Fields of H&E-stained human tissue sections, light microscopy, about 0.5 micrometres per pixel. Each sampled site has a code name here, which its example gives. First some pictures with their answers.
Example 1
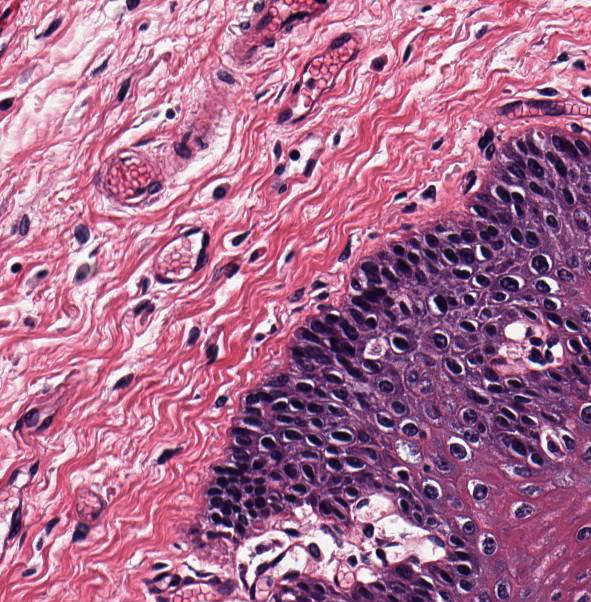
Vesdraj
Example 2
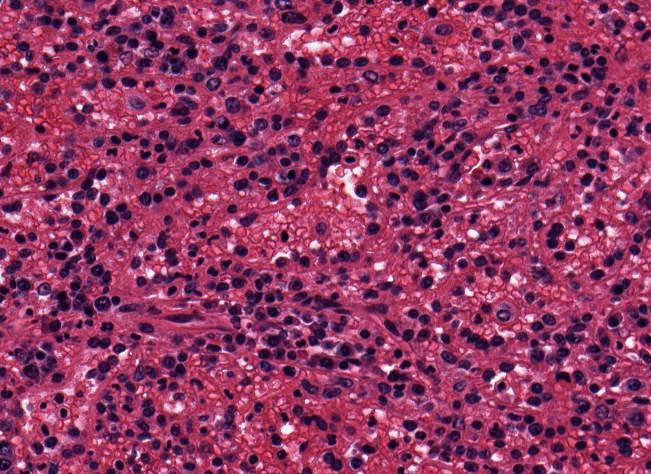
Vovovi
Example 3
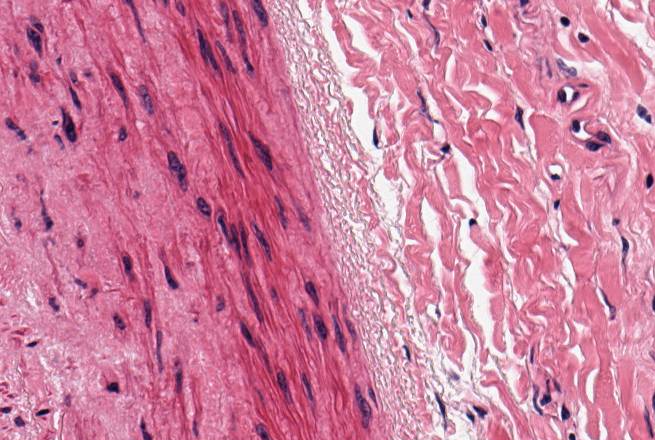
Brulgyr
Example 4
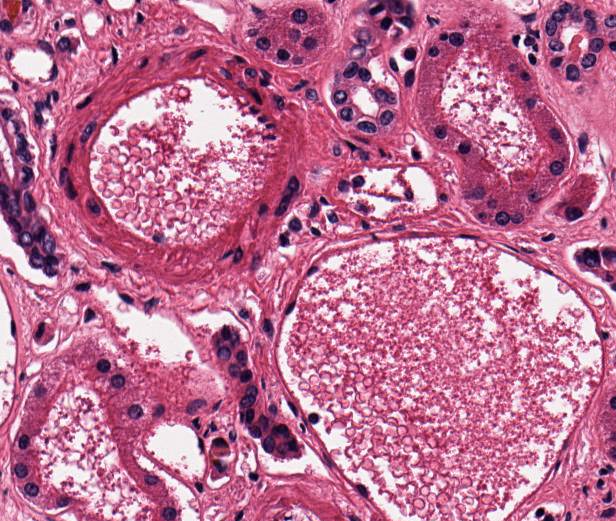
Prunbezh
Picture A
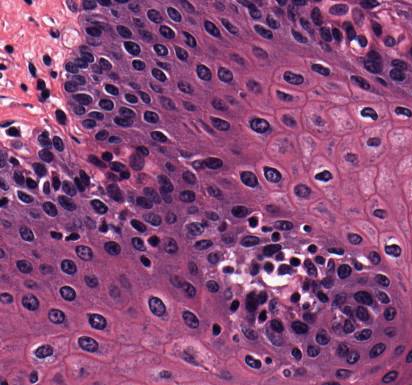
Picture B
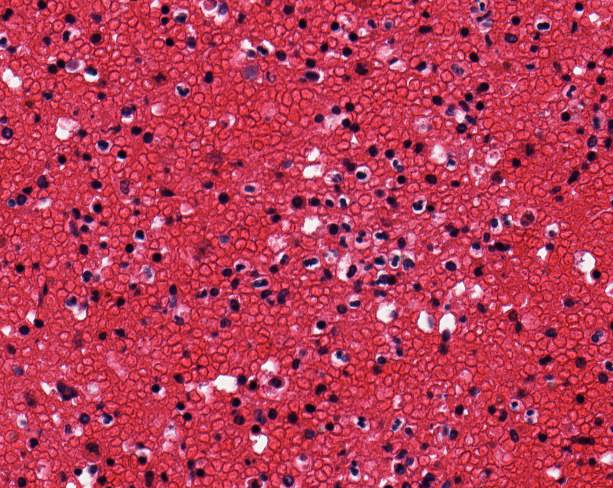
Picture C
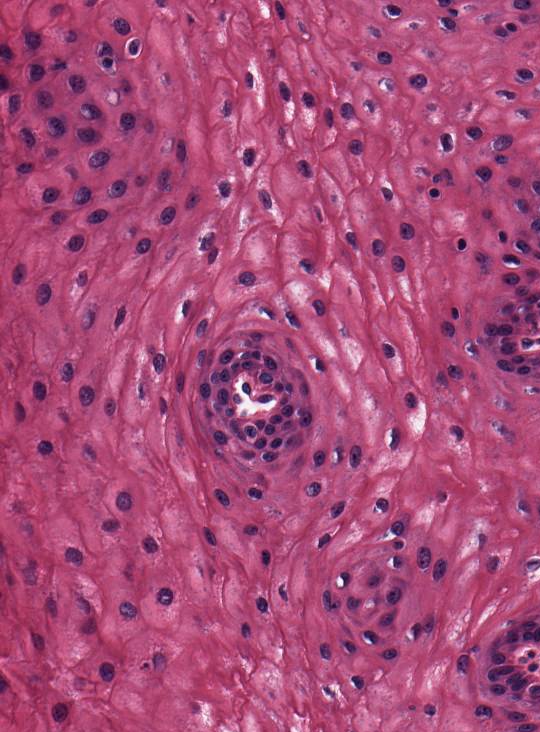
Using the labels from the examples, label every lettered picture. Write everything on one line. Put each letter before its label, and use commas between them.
A Vesdraj, B Vovovi, C Vesdraj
